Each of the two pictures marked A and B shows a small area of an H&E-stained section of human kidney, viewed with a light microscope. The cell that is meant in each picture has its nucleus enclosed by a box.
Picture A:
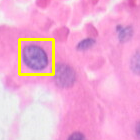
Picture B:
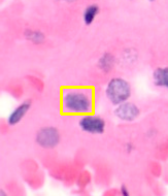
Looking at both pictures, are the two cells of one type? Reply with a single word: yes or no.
no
